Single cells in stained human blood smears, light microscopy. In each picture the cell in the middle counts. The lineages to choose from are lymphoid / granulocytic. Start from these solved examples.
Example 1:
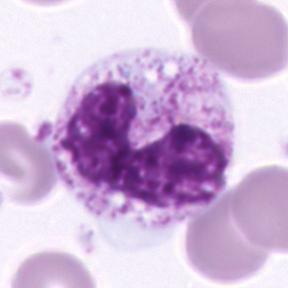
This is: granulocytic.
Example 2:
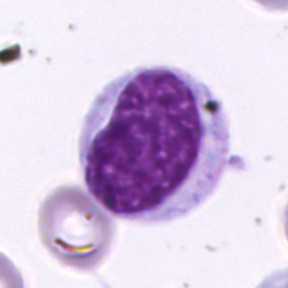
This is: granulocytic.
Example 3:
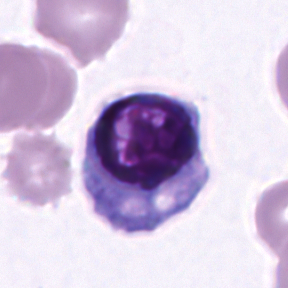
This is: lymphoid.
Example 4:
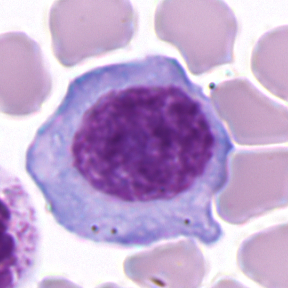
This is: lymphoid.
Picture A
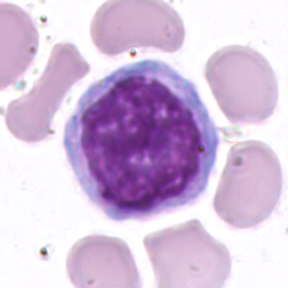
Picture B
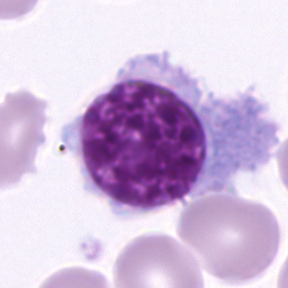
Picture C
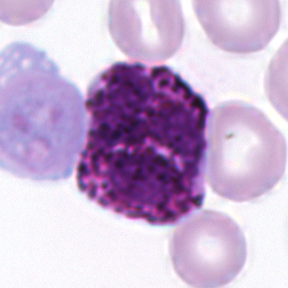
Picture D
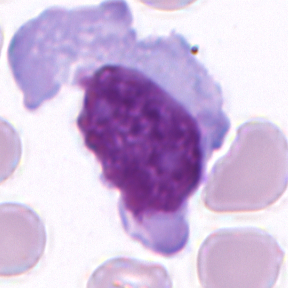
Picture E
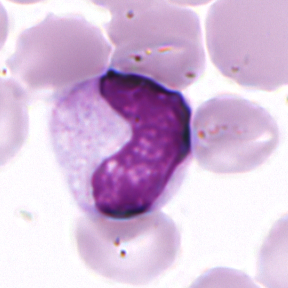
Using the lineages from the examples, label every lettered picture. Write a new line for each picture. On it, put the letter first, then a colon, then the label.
A: lymphoid.
B: lymphoid.
C: granulocytic.
D: lymphoid.
E: granulocytic.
